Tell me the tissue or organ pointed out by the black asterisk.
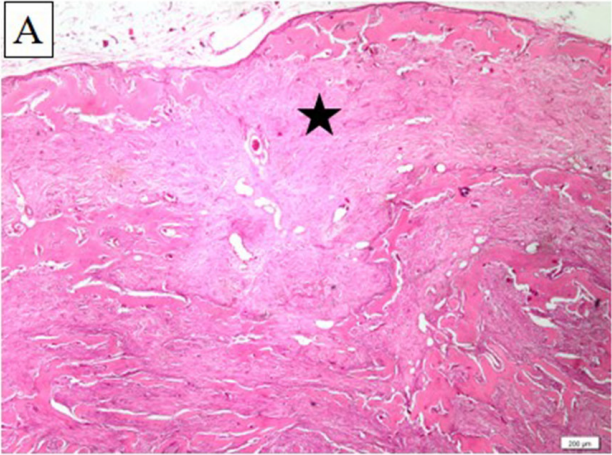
Fibrous connective tissue.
